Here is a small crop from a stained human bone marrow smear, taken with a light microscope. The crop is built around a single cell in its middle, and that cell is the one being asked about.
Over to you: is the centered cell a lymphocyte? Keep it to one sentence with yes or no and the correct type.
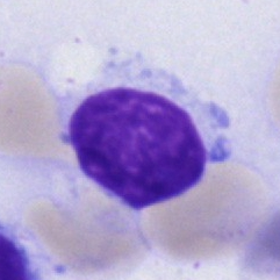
Yes, what sits in the middle of the crop is a lymphocyte.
